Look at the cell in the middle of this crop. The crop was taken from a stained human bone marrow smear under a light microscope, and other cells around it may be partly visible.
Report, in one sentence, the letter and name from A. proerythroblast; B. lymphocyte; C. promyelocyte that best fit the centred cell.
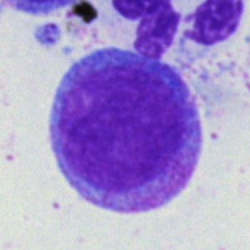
Option C, which names the central cell as a promyelocyte, is correct.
